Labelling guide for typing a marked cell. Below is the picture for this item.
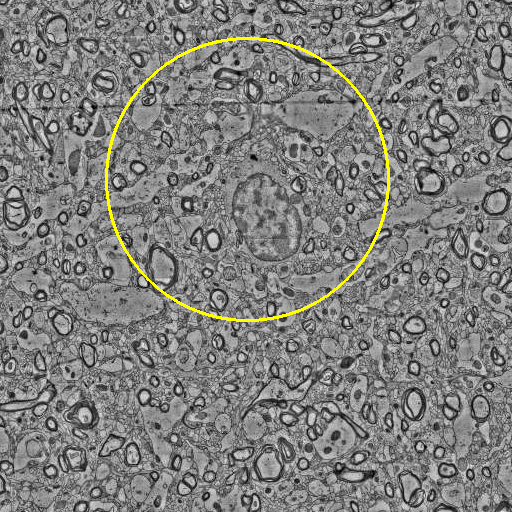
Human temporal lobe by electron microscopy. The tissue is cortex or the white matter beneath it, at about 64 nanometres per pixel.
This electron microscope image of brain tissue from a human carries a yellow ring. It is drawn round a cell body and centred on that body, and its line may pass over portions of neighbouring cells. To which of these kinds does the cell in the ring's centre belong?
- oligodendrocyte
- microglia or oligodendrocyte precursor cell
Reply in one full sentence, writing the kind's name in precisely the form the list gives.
Here we have an oligodendrocyte at the centre of the yellow ring in the picture.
